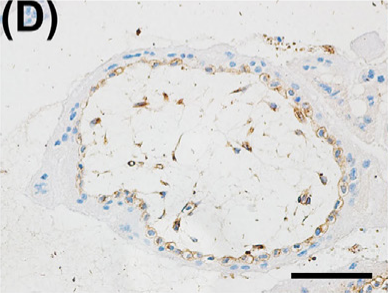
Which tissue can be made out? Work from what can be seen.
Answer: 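A rounded villus with a loose, sparse stromal core and scattered stromal cells. A thin epithelial layer of cells lines the villus surface. So: placental villi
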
